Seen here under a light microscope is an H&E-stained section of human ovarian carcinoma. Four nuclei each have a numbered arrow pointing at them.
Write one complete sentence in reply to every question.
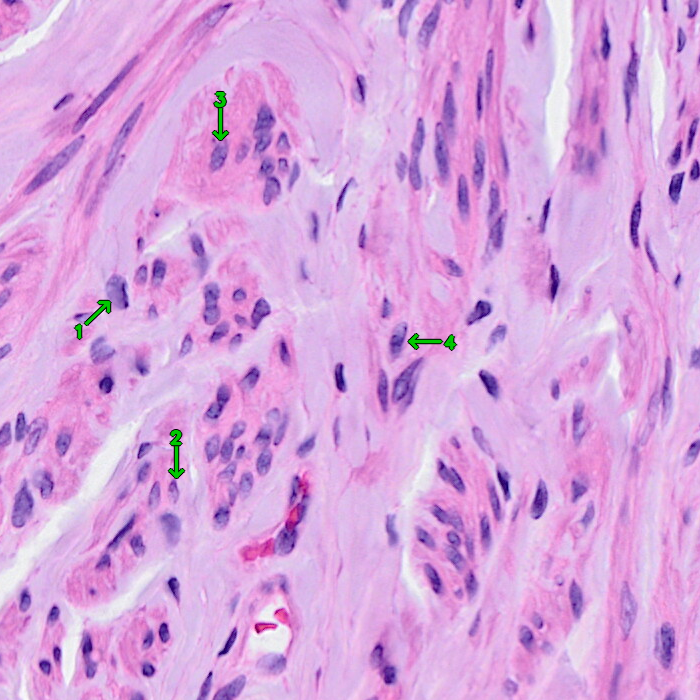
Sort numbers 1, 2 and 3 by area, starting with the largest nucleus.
From largest to smallest, the order is 1, 3, 2.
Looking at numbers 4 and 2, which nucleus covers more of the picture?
Nucleus 4 is larger, with an area about 2 times that of nucleus 2.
